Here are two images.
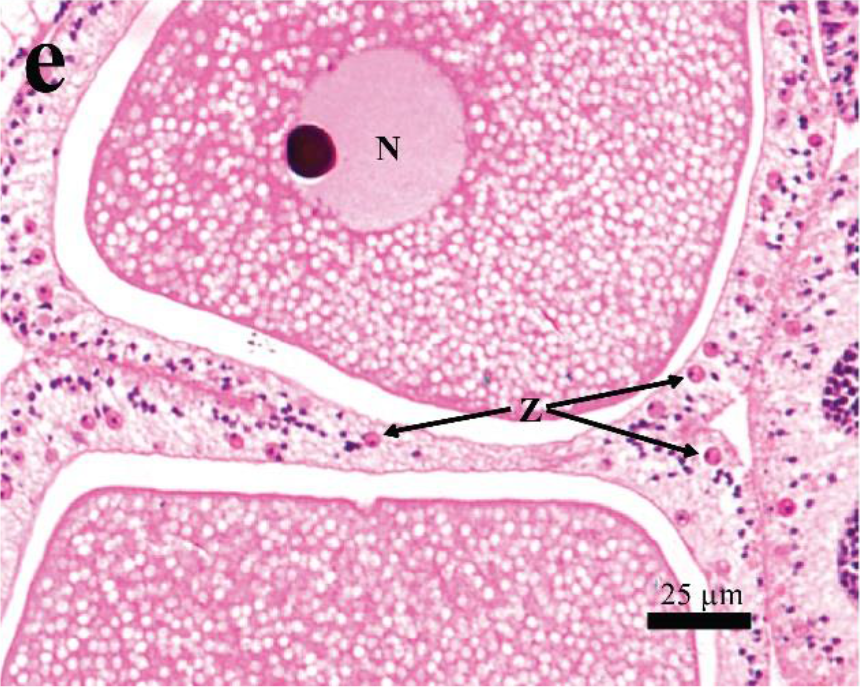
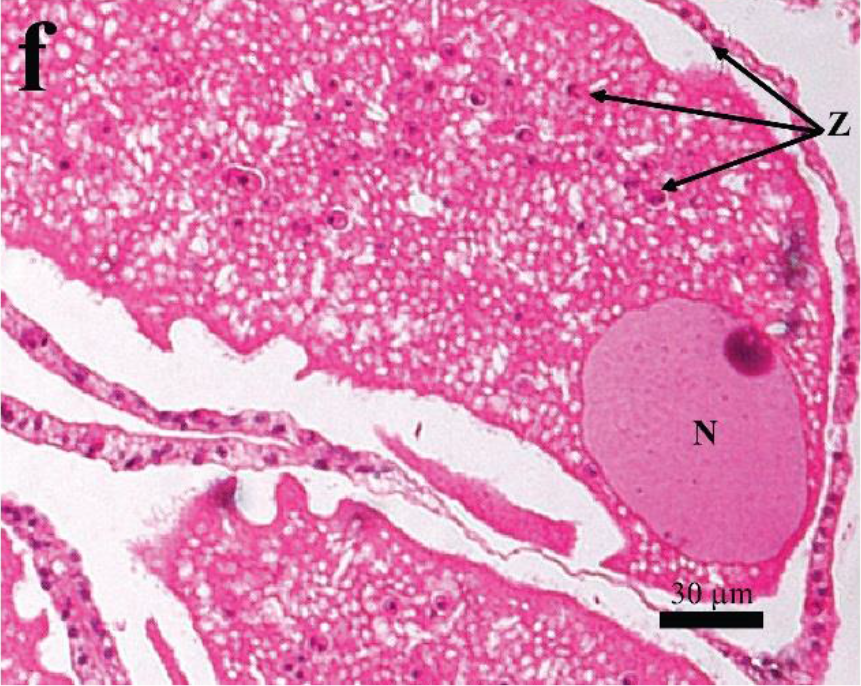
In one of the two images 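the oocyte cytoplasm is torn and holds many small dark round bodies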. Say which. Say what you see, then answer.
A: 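Second image: oocyte cytoplasm coarse with clefts, many small dark bodies inside, margin pulled away from the surrounding layer. First image: oocyte cytoplasm evenly foamy with smooth margins, small round bodies lie only in the tissue between oocytes.
Conclusion: the second image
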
